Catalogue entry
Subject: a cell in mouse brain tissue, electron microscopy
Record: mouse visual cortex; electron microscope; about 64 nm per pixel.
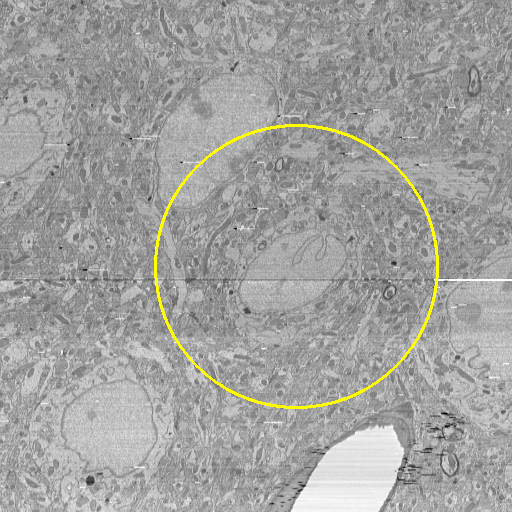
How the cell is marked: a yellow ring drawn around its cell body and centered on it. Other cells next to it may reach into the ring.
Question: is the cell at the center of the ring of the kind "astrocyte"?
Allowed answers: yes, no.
no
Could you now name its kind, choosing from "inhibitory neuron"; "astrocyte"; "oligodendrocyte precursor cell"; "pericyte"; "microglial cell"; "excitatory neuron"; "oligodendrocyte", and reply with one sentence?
Instead, what sits at the centre of the ring is an inhibitory neuron.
